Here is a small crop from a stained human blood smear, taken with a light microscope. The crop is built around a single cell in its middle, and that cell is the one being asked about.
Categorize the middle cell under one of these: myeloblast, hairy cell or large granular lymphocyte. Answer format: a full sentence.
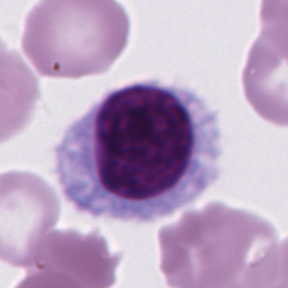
The cell marked by its central position in the crop is a hairy cell.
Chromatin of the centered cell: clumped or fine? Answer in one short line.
You can see that its chromatin is coarsely clumped.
